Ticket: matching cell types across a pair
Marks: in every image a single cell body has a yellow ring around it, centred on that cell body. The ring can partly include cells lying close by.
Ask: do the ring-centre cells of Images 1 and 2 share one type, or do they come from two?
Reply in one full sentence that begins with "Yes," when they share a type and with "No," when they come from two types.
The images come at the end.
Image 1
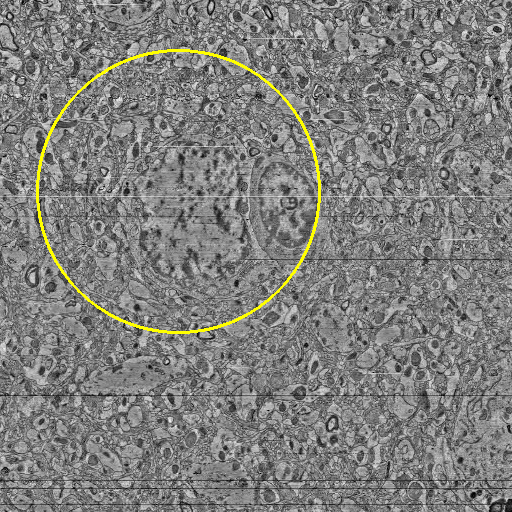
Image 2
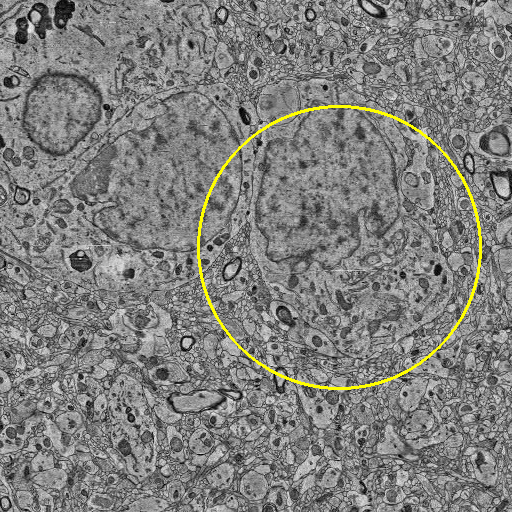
Yes, the cells in the centres of the rings in Image 1 and Image 2 share one type.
